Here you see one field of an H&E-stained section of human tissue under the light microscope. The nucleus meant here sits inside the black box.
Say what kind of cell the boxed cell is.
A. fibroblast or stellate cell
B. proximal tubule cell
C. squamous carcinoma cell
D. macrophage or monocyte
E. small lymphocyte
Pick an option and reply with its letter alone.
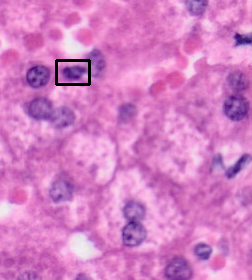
A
